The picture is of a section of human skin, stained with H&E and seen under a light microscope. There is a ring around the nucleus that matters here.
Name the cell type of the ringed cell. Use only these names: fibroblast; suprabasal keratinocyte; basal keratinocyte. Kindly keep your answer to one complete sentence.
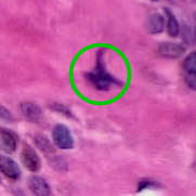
Right, so the ringed cell is a fibroblast, to answer that.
